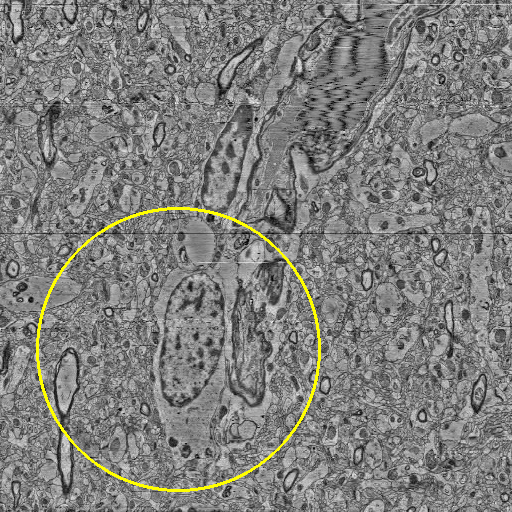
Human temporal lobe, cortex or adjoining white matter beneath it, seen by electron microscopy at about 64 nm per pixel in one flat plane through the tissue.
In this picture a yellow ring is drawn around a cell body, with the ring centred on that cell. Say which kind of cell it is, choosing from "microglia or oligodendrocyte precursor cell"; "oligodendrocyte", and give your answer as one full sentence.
Here it is a microglial cell or oligodendrocyte precursor cell that sits at the centre of the drawn yellow ring.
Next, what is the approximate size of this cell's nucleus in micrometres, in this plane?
About 9 by 4 micrometres, the nucleus being clearly longer than it is wide in this plane.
